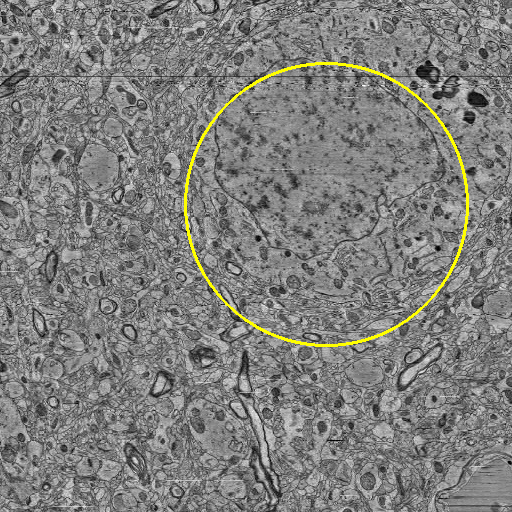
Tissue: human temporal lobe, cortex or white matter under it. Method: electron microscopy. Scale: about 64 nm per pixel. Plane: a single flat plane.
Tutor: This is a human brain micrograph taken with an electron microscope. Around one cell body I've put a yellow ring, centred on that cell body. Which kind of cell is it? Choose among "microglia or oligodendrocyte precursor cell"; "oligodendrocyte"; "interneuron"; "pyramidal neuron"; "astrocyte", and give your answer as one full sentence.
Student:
Going by your list, the cell centred in the yellow ring is a pyramidal neuron.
